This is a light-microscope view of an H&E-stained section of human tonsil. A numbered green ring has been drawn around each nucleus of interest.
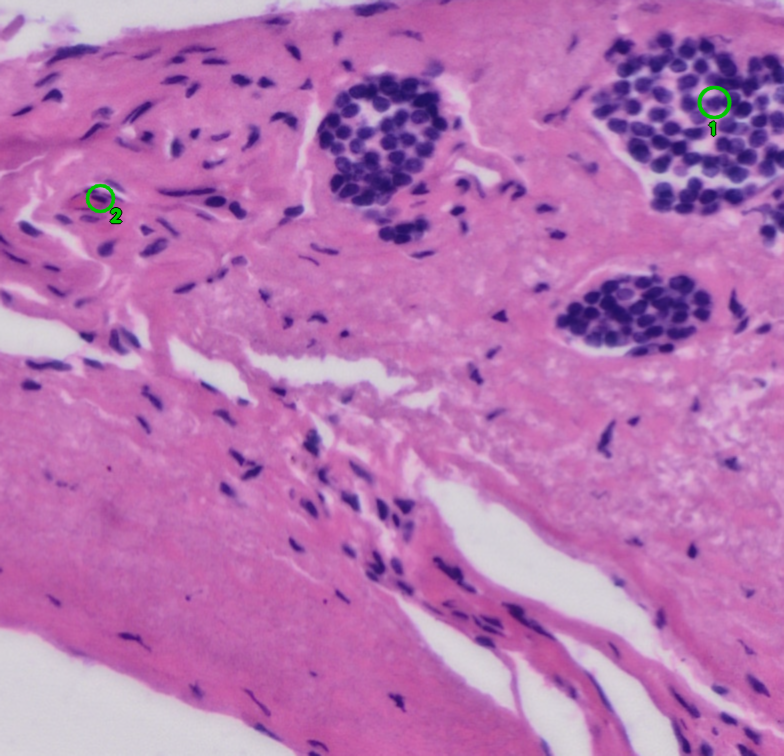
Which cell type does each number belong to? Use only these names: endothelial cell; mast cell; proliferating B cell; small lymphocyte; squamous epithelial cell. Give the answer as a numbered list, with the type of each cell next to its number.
1. small lymphocyte
2. endothelial cell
